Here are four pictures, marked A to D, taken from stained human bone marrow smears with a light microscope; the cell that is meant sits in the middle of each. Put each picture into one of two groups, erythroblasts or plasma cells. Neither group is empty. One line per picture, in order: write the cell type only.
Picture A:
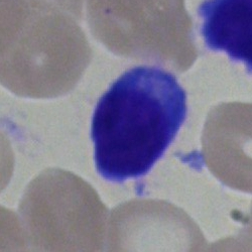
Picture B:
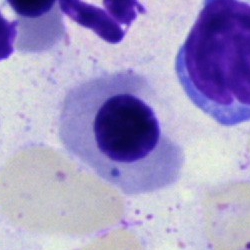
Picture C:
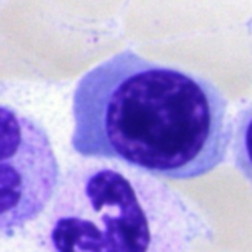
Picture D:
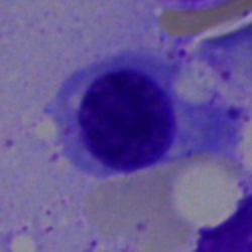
plasma cell
erythroblast
erythroblast
erythroblast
